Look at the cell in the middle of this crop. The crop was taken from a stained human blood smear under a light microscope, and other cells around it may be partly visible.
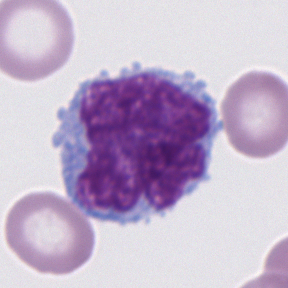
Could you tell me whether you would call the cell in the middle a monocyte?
yes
